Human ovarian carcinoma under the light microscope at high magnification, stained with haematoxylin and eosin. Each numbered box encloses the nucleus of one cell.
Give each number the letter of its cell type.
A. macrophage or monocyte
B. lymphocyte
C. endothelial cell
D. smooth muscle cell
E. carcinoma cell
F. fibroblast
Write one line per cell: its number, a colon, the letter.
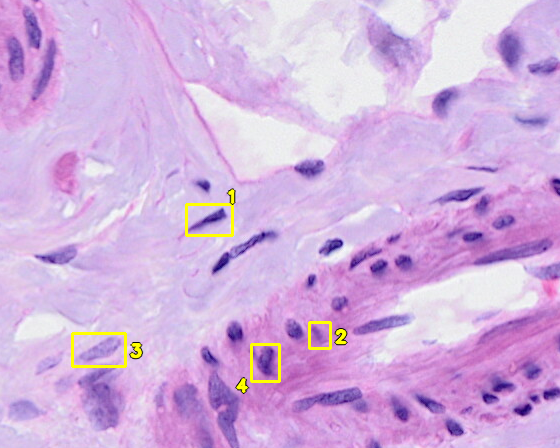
1: F
2: D
3: F
4: D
